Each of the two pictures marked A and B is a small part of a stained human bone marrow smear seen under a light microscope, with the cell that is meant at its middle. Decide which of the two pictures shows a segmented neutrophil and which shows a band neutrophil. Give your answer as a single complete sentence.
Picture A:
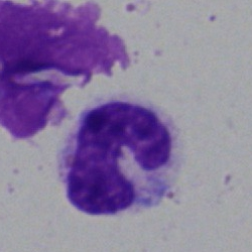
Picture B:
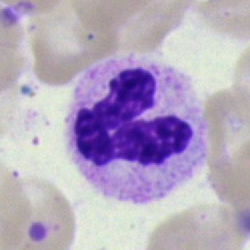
In picture A the cell is a band neutrophil; in picture B, a segmented neutrophil.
